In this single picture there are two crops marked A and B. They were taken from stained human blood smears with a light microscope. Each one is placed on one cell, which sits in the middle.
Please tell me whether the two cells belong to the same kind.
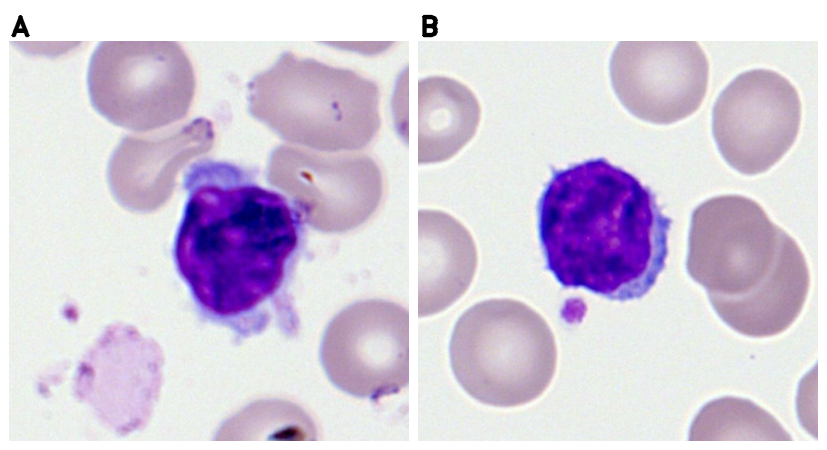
yes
